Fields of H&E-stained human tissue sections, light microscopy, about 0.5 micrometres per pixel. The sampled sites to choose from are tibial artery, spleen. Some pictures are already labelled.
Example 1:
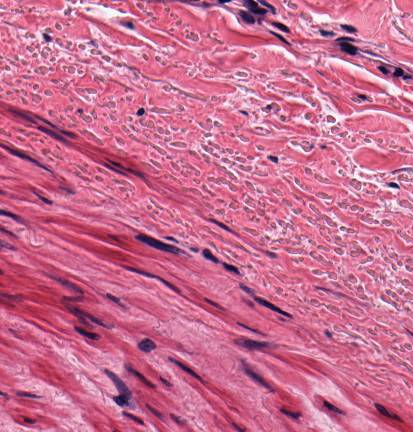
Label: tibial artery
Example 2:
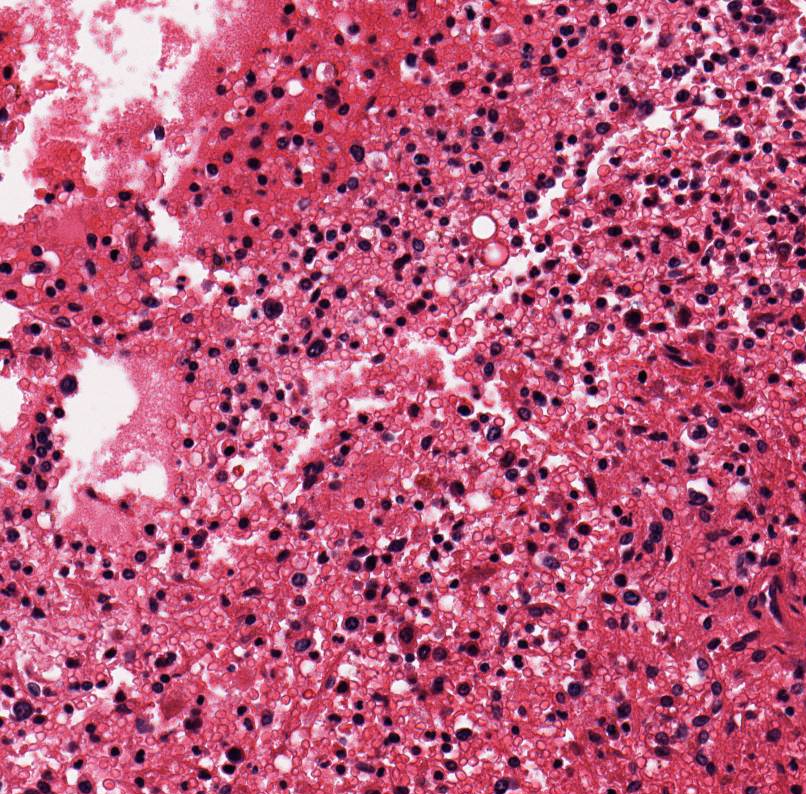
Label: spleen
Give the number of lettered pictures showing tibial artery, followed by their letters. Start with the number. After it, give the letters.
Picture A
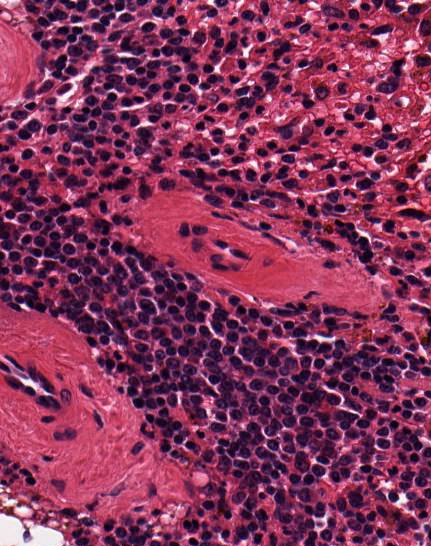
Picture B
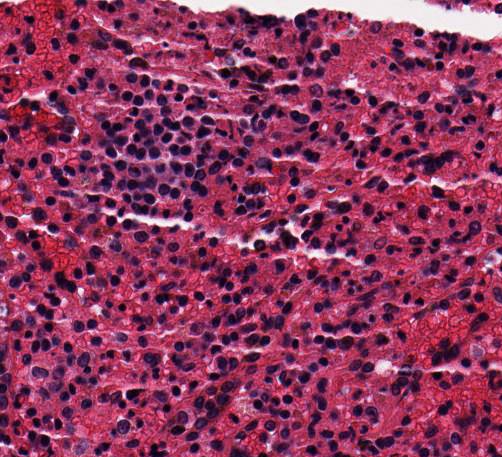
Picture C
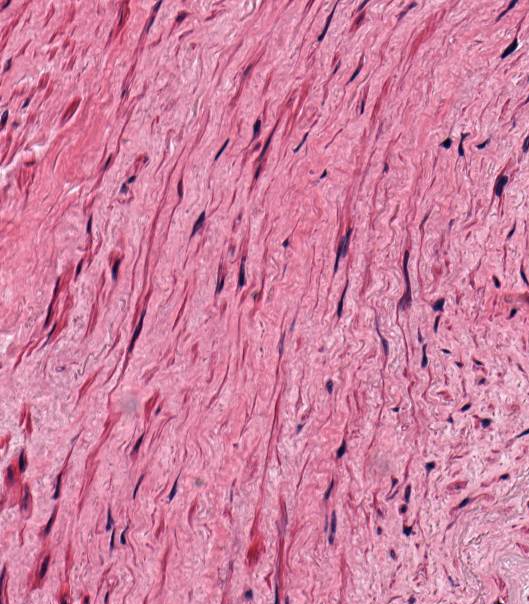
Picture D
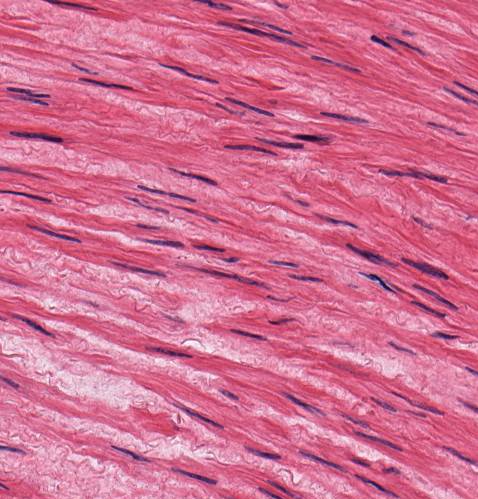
2, namely C, D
